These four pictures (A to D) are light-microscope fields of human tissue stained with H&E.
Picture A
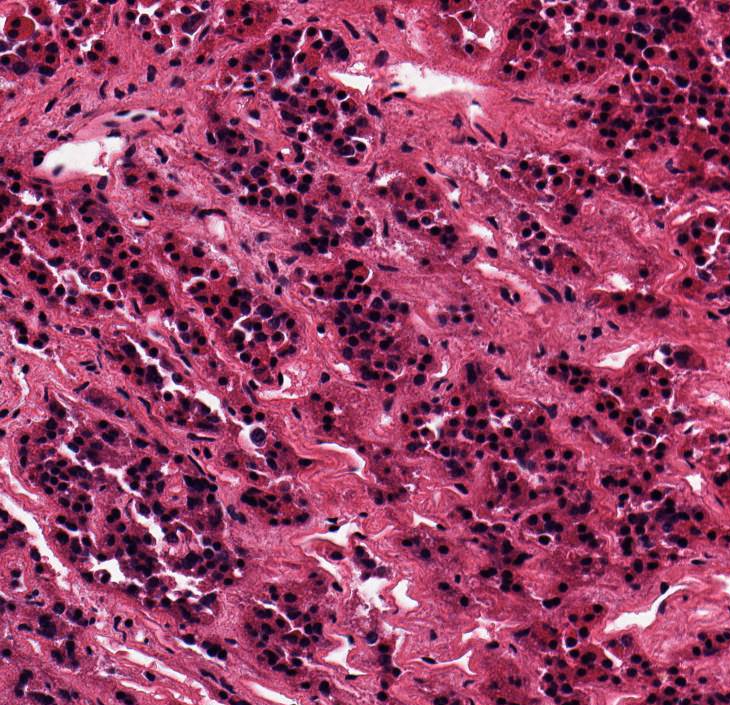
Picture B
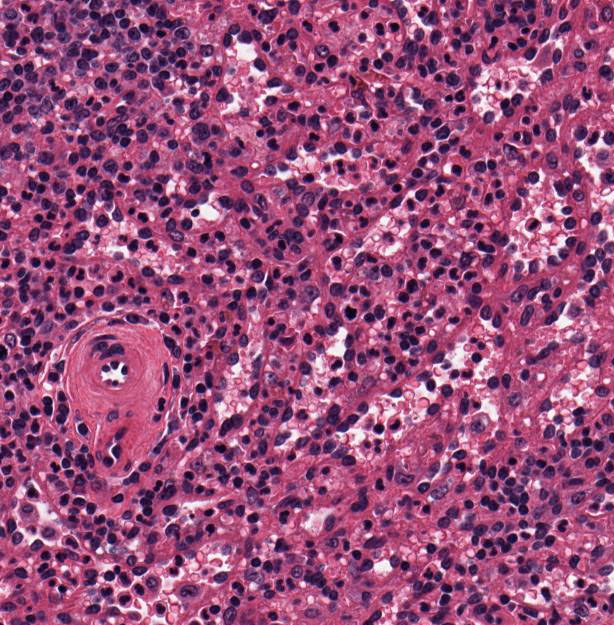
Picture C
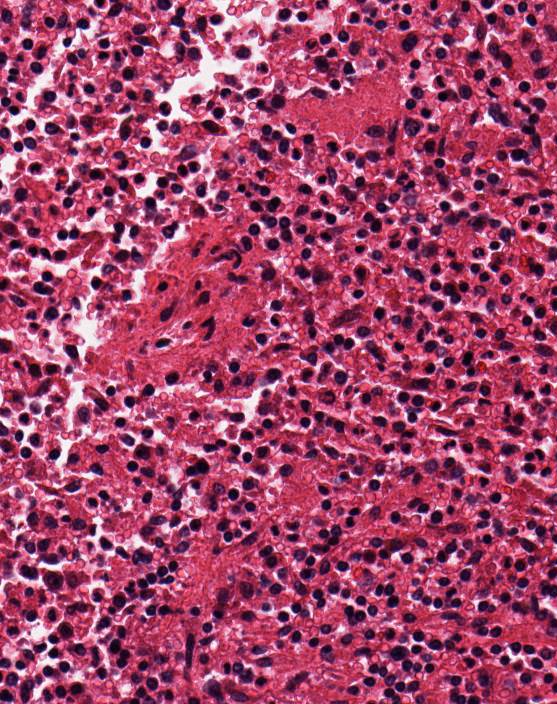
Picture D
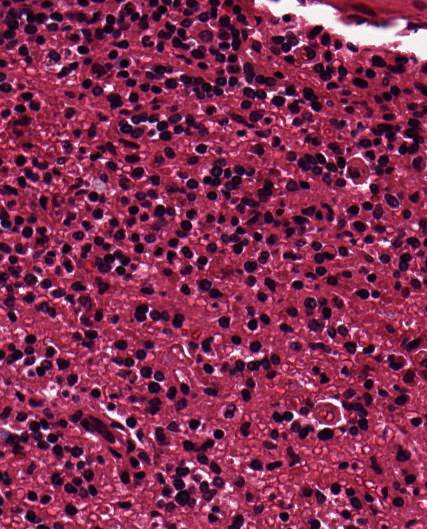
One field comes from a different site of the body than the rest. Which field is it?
A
